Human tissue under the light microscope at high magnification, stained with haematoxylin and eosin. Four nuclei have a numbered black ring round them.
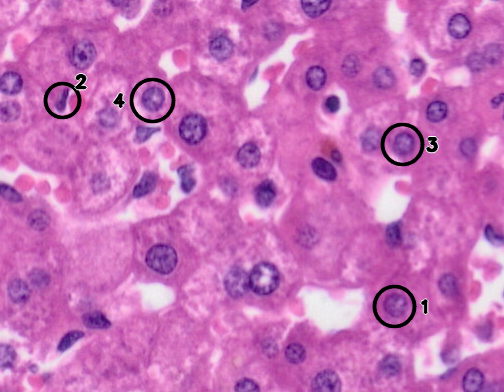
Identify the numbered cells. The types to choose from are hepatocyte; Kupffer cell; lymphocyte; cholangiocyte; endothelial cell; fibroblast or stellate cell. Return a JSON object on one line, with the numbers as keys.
{"1": "hepatocyte", "2": "endothelial cell", "3": "hepatocyte", "4": "hepatocyte"}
